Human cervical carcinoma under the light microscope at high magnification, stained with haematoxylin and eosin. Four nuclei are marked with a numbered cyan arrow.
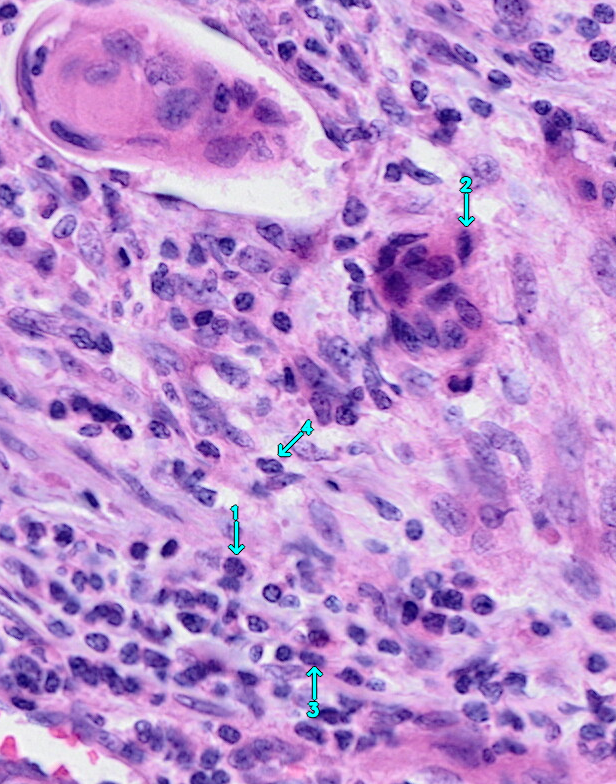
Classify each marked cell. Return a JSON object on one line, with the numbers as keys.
{"1": "lymphocyte", "2": "squamous carcinoma cell", "3": "lymphocyte", "4": "lymphocyte"}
